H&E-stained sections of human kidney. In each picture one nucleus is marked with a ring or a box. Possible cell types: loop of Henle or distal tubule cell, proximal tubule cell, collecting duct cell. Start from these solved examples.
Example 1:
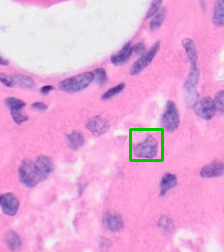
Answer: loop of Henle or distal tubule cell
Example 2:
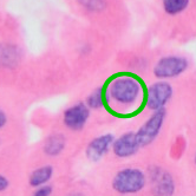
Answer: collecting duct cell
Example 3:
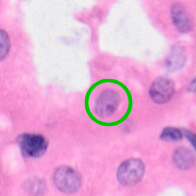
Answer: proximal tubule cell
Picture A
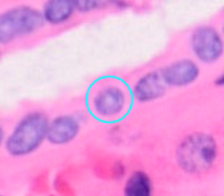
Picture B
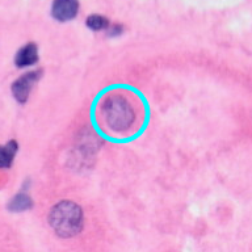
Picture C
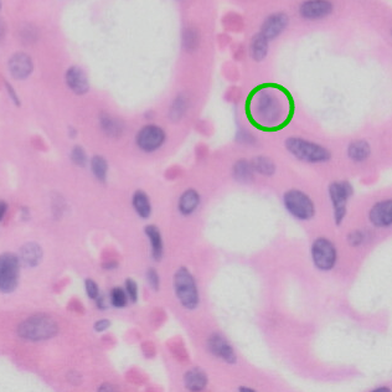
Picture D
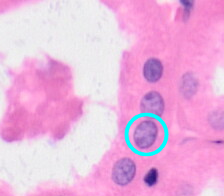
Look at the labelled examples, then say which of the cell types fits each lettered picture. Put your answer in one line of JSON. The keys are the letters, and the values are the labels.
{"A": "collecting duct cell", "B": "proximal tubule cell", "C": "collecting duct cell", "D": "proximal tubule cell"}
